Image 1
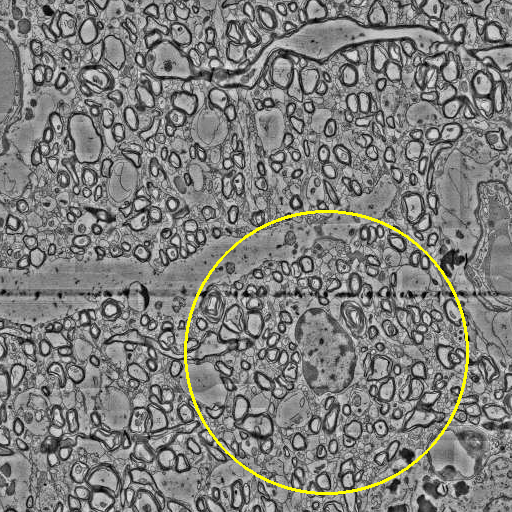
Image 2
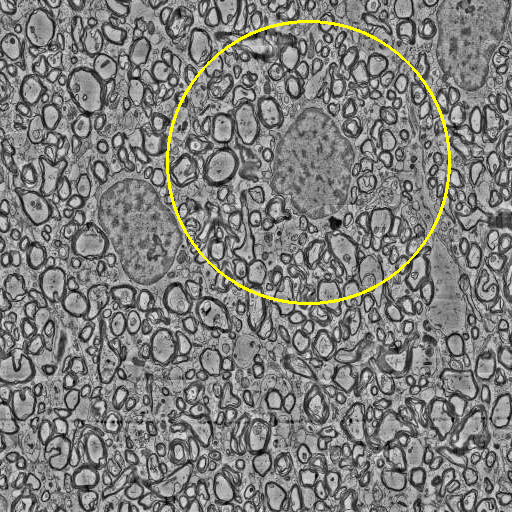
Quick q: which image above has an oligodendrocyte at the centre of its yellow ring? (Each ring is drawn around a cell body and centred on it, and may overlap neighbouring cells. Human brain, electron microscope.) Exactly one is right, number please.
2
